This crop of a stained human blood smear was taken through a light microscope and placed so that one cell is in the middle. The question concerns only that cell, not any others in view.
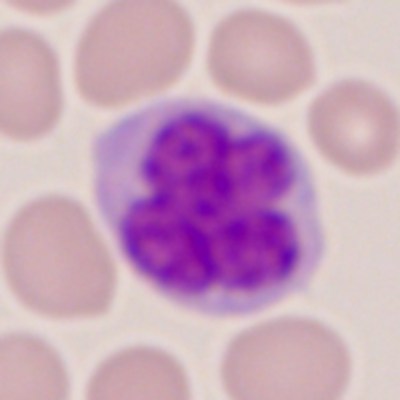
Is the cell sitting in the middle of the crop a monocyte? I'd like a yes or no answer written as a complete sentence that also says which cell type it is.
Yes, the one cell at the centre is a monocyte.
